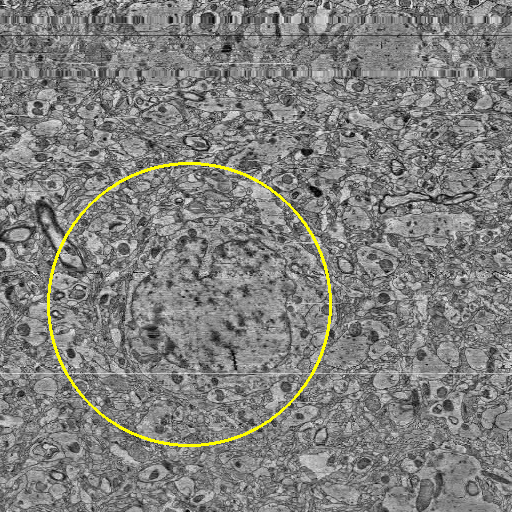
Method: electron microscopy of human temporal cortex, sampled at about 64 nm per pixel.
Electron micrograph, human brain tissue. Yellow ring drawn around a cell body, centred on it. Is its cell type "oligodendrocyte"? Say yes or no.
no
